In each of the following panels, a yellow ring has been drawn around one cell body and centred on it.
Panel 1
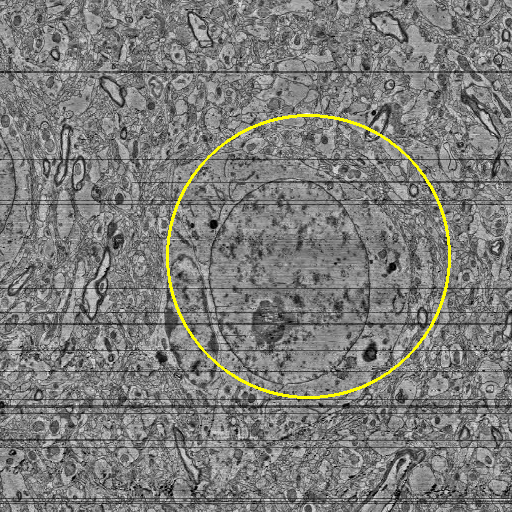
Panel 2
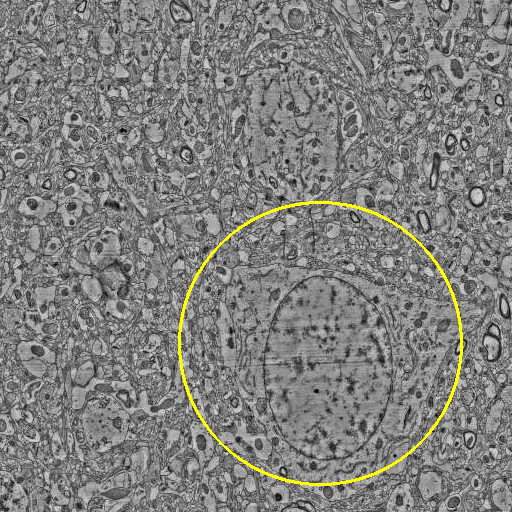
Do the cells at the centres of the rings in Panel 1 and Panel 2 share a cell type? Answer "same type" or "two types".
same type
